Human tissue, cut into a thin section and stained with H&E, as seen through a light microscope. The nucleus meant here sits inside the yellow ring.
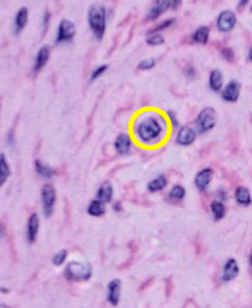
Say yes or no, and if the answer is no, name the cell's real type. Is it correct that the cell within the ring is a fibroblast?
No, it is a smooth muscle cell.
